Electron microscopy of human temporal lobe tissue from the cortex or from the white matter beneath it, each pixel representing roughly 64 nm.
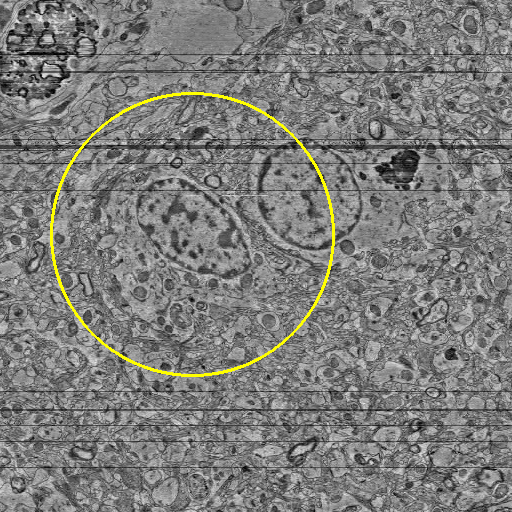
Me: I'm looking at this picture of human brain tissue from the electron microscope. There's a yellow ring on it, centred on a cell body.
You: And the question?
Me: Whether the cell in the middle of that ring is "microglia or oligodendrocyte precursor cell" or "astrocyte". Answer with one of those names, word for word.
astrocyte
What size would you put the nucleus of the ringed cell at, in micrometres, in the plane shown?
Approximately 8 by 5 micrometers, which makes the nucleus clearly longer than it is wide in this plane.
